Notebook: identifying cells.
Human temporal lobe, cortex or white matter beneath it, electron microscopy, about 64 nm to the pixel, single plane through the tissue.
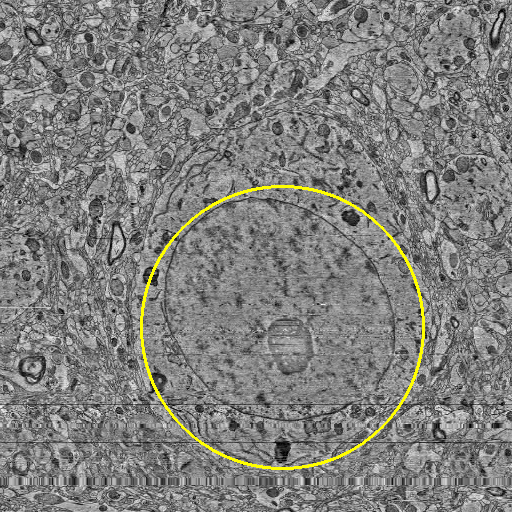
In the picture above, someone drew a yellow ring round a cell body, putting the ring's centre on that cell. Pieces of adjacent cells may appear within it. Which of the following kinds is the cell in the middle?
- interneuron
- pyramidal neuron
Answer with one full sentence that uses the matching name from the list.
In this picture, the yellow ring is centred on the body of a pyramidal neuron.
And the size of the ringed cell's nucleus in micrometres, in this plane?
About 16 by 14 micrometres in this plane.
